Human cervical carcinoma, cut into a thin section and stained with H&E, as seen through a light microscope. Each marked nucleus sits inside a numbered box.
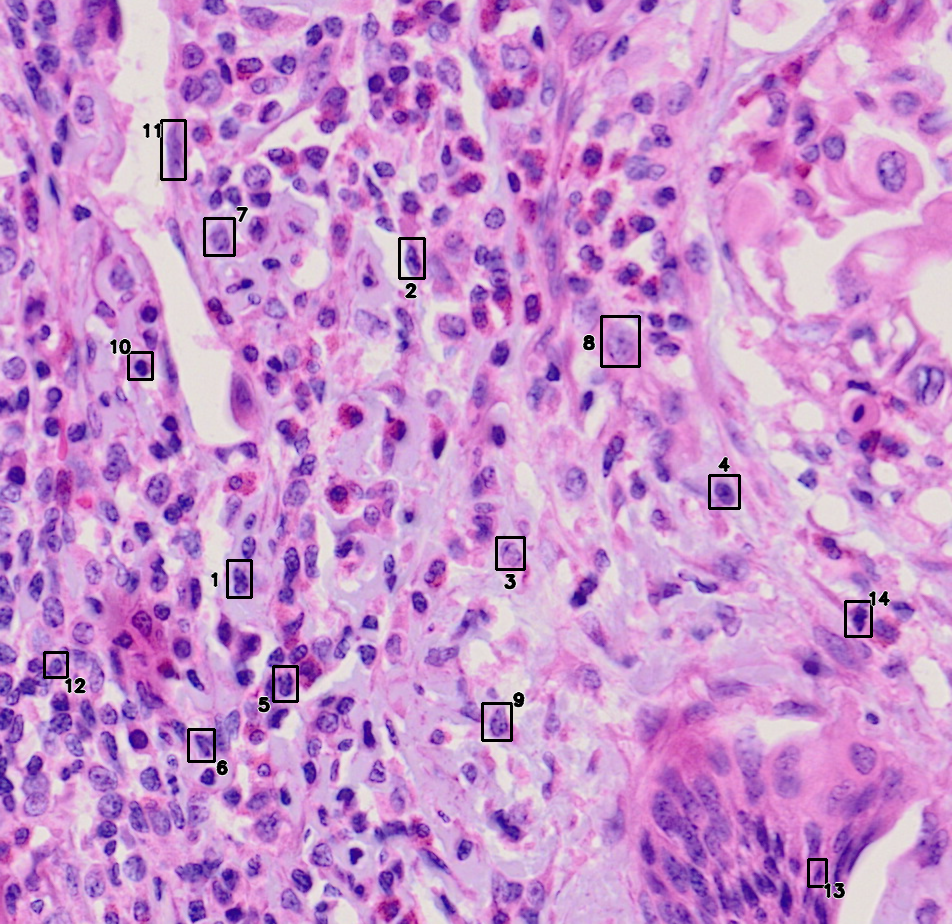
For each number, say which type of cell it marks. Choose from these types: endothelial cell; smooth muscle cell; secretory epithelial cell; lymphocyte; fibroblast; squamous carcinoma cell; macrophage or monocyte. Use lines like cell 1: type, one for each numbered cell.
cell 1: lymphocyte
cell 2: lymphocyte
cell 3: macrophage or monocyte
cell 4: lymphocyte
cell 5: lymphocyte
cell 6: lymphocyte
cell 7: macrophage or monocyte
cell 8: endothelial cell
cell 9: macrophage or monocyte
cell 10: lymphocyte
cell 11: endothelial cell
cell 12: lymphocyte
cell 13: squamous carcinoma cell
cell 14: lymphocyte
